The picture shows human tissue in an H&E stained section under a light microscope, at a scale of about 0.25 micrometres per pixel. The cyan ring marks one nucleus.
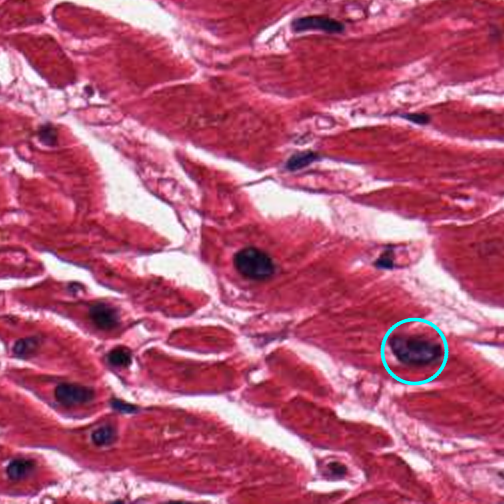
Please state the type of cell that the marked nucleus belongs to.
cardiomyocyte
